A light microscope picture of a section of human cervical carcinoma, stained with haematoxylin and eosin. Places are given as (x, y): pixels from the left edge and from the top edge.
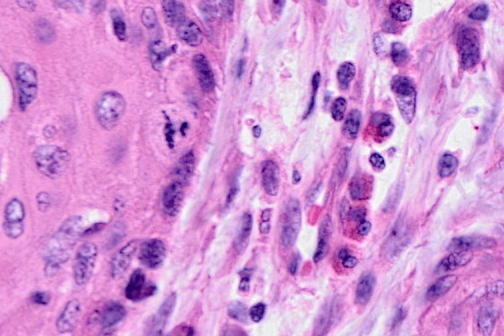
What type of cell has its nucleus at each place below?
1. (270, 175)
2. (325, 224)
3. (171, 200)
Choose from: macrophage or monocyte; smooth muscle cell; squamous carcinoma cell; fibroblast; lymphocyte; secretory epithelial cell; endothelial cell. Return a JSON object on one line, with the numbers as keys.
{"1": "macrophage or monocyte", "2": "endothelial cell", "3": "squamous carcinoma cell"}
